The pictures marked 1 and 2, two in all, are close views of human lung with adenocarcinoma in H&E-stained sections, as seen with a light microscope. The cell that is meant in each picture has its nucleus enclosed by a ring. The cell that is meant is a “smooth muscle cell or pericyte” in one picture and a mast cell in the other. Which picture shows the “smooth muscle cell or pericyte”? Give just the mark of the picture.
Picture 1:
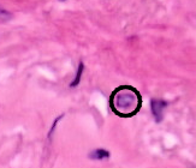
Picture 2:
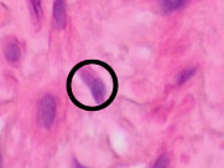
2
